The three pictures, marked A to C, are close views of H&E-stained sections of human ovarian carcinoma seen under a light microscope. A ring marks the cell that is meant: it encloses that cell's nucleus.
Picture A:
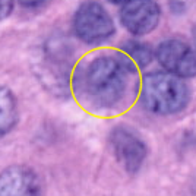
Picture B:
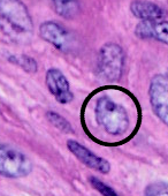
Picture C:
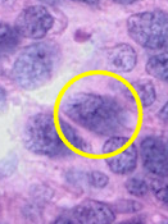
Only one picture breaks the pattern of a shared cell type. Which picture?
B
